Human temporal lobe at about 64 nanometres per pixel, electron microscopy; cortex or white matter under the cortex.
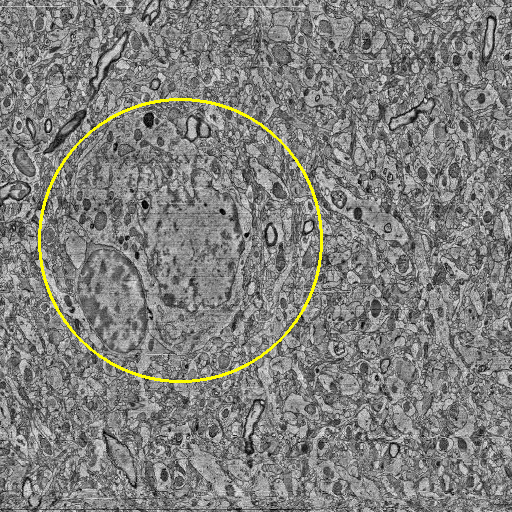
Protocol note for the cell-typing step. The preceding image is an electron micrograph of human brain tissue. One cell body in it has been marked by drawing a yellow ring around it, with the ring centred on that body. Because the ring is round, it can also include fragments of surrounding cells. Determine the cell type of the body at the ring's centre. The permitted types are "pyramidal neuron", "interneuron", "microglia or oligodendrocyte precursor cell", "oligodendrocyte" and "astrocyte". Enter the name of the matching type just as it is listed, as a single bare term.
interneuron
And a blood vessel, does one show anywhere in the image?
No.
